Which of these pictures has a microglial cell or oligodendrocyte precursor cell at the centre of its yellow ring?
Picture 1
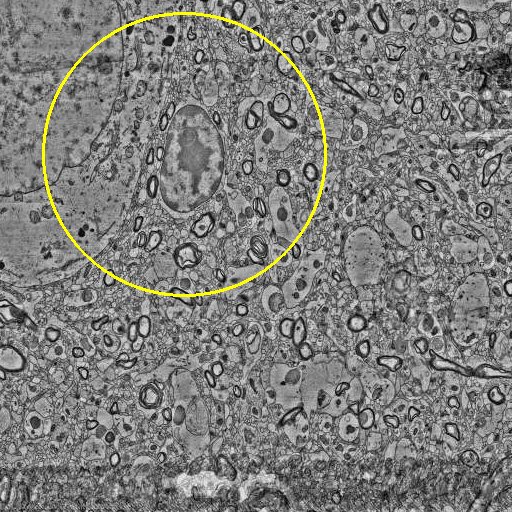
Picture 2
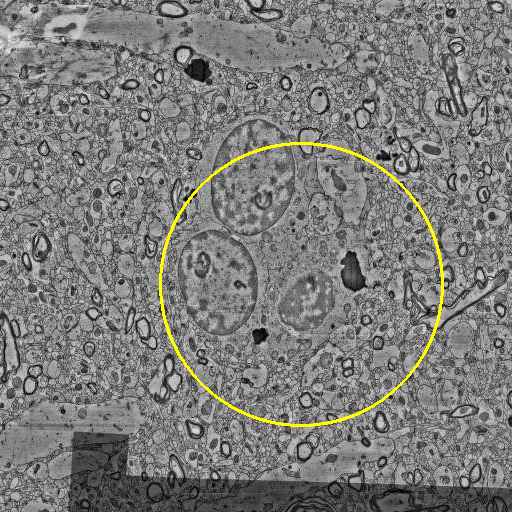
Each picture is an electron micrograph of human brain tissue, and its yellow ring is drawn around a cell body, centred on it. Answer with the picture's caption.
Picture 1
